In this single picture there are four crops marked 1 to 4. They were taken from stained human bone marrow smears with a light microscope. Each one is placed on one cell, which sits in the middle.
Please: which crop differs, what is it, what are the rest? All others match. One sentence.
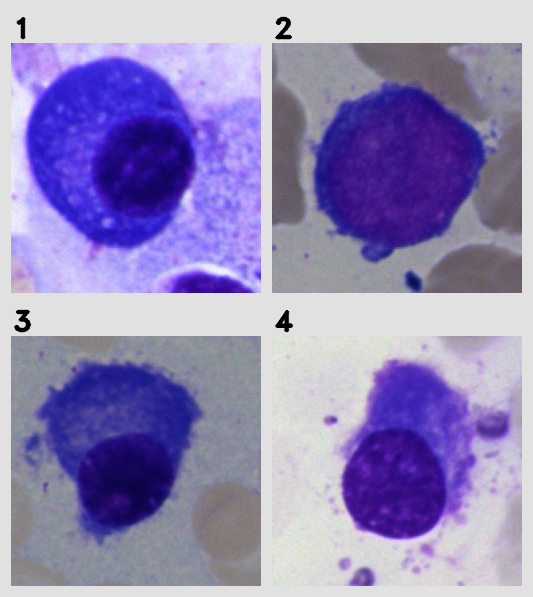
As the exception to the plasma cells in the other crops, crop 2 shows a proerythroblast.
